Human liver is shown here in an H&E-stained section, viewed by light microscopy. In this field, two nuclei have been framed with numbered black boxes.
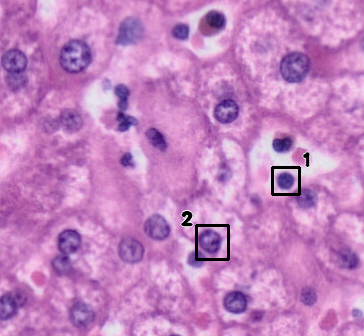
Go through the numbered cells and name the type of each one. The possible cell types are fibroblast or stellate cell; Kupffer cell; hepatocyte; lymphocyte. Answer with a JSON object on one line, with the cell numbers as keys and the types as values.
{"1": "lymphocyte", "2": "hepatocyte"}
